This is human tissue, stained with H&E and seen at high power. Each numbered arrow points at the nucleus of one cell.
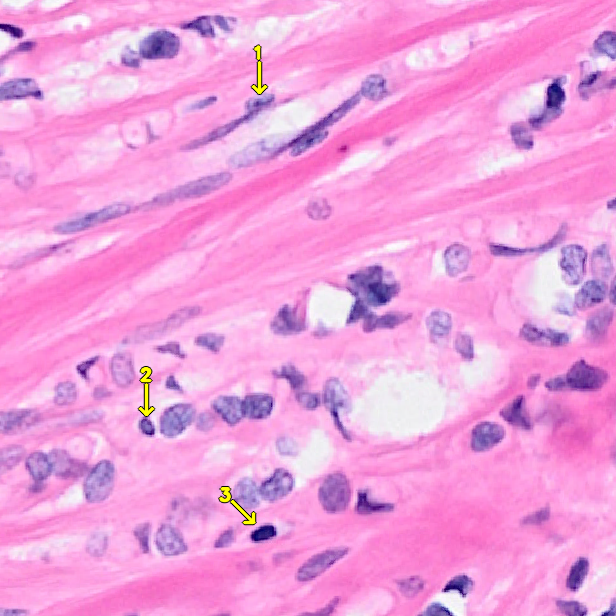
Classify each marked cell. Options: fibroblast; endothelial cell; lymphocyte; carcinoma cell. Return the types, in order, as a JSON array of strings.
["endothelial cell", "lymphocyte", "lymphocyte"]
